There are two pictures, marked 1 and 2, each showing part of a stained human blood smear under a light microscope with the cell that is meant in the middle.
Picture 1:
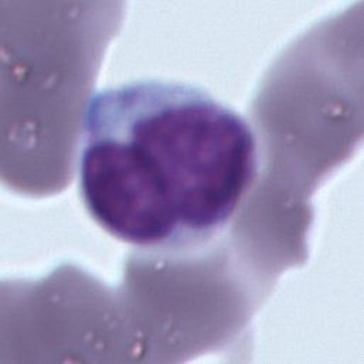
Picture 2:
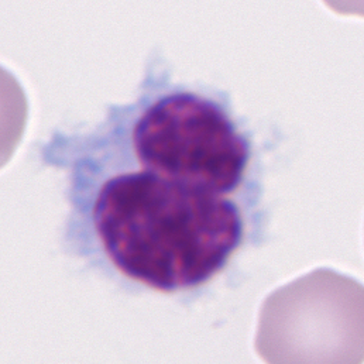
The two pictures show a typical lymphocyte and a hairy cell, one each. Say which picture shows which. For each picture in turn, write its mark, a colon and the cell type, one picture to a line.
1: typical lymphocyte
2: hairy cell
